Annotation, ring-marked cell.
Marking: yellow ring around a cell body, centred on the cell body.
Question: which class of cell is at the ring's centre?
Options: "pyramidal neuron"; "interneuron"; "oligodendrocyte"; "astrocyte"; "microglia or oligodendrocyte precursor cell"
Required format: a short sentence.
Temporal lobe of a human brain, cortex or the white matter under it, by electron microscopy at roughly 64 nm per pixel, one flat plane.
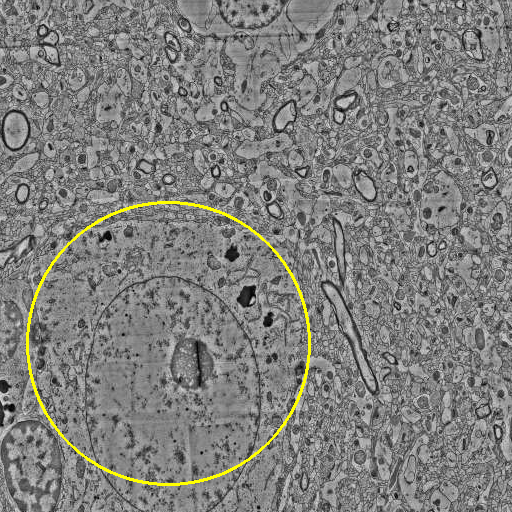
At the ring's centre is a pyramidal neuron.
